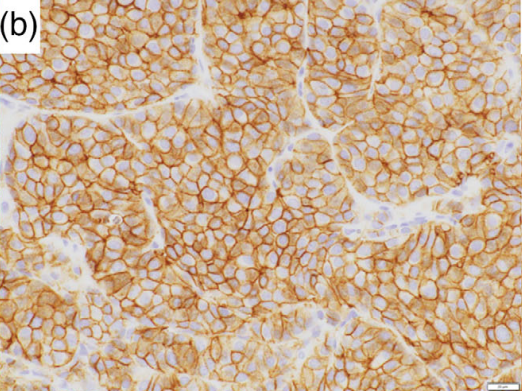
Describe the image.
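Small, round tumour cells arranged in nests separated by thin pale stromal septa show a crisp brown outline along their cell membranes. The blue-counterstained nuclei are round and closely packed, giving a honeycomb pattern of brown membranes across each nest.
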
